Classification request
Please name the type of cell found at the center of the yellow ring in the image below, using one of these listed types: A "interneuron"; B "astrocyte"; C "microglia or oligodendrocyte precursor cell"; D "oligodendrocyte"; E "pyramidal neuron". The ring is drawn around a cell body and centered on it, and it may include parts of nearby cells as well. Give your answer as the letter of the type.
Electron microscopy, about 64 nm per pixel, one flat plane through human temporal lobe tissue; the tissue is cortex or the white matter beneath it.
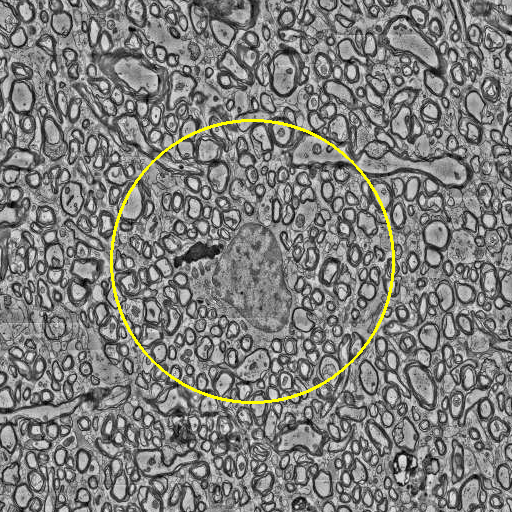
D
